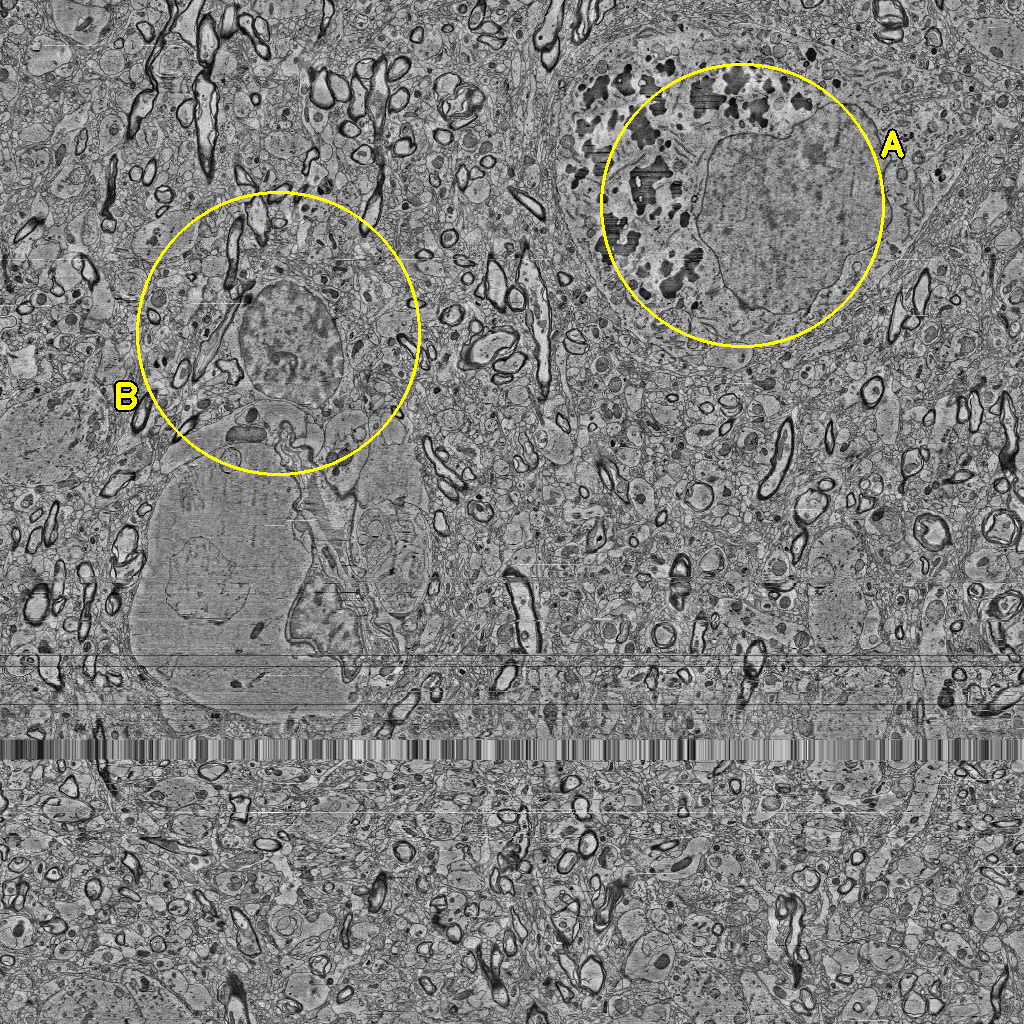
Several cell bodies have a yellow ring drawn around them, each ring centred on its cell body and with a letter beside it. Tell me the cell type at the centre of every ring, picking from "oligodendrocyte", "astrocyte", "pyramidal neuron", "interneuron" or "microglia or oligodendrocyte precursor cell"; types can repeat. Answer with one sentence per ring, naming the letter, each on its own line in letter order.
In ring A, the central cell is an interneuron.
In ring B, the central cell is an oligodendrocyte.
